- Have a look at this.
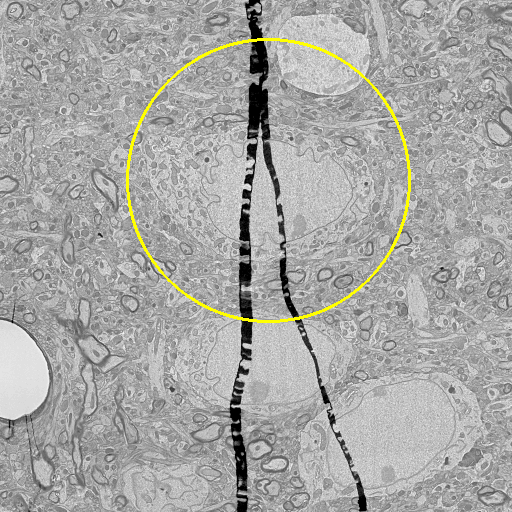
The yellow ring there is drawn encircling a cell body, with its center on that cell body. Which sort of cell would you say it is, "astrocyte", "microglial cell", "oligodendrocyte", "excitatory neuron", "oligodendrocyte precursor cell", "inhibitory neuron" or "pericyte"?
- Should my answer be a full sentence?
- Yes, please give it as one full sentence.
For this picture, an inhibitory neuron is the cell where the yellow ring has its center.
